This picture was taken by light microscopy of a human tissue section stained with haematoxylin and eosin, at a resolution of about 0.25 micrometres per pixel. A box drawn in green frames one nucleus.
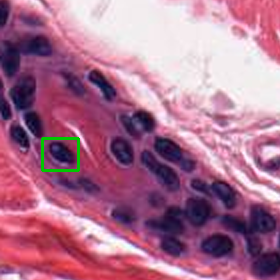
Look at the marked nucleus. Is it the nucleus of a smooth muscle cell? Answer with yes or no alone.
no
